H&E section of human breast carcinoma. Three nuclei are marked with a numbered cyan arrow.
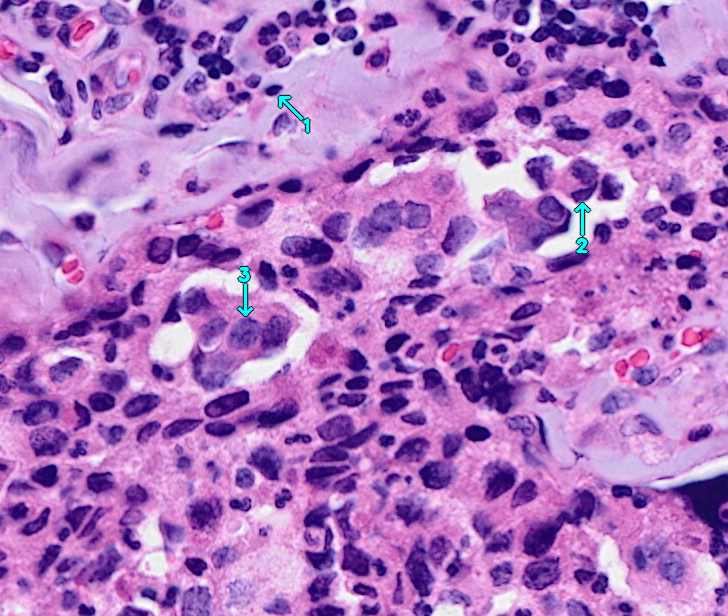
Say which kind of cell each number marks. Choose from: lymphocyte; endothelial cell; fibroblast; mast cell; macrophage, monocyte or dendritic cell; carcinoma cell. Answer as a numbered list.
1. lymphocyte
2. carcinoma cell
3. carcinoma cell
